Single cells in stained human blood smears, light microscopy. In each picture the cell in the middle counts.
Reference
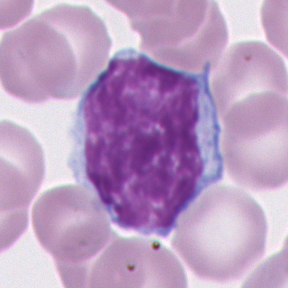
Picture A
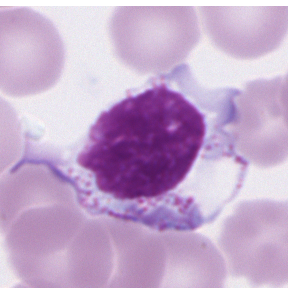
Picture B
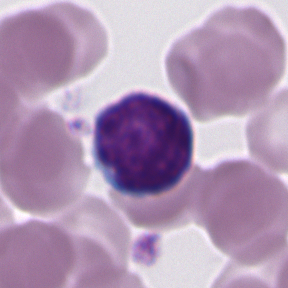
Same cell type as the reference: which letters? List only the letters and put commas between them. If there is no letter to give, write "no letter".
B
